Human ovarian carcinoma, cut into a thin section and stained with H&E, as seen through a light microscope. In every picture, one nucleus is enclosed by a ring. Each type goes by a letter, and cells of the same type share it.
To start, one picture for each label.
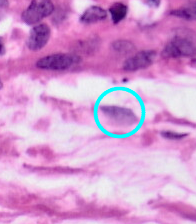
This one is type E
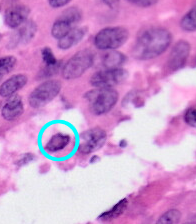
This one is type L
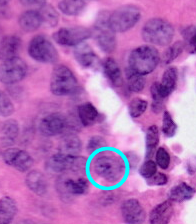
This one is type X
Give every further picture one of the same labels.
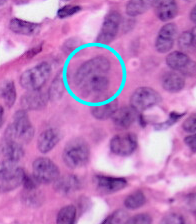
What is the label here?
type X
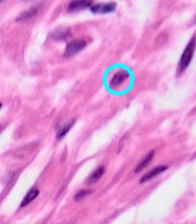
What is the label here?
type E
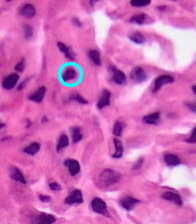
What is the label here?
type E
